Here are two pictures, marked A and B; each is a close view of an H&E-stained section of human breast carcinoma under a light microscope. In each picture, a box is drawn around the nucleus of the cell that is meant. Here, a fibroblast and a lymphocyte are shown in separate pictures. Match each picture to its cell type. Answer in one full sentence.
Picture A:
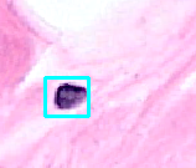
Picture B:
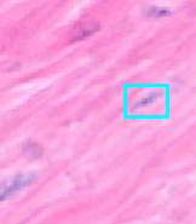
Picture A shows a lymphocyte and picture B shows a fibroblast.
